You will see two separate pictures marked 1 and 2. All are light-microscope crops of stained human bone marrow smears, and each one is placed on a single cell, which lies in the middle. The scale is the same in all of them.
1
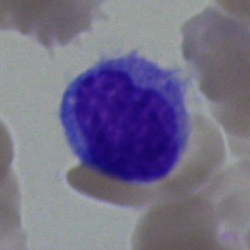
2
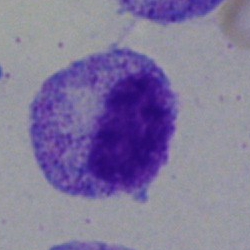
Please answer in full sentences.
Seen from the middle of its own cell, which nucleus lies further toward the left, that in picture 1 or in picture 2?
The nucleus in picture 1 lies further toward the left of its cell.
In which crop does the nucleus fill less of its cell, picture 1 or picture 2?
It is the cell in picture 2 that is filled less by its nucleus.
